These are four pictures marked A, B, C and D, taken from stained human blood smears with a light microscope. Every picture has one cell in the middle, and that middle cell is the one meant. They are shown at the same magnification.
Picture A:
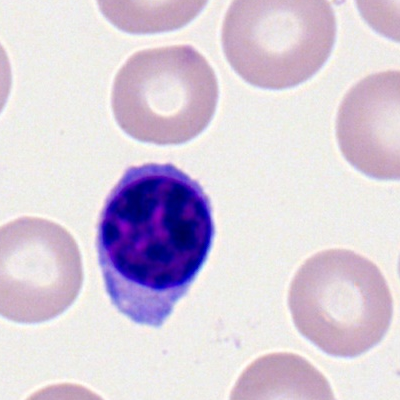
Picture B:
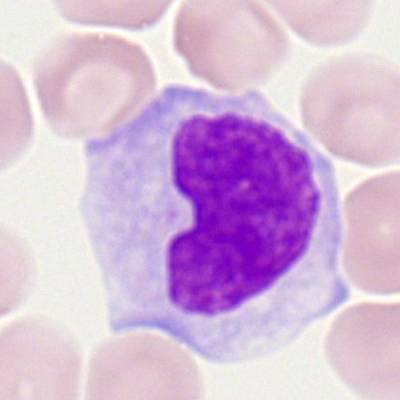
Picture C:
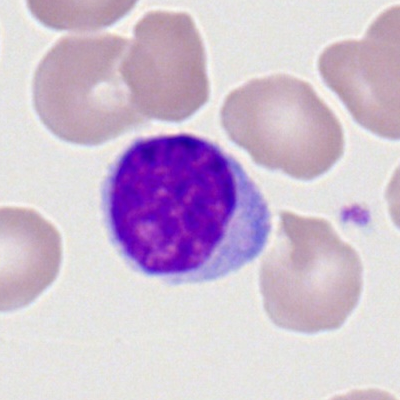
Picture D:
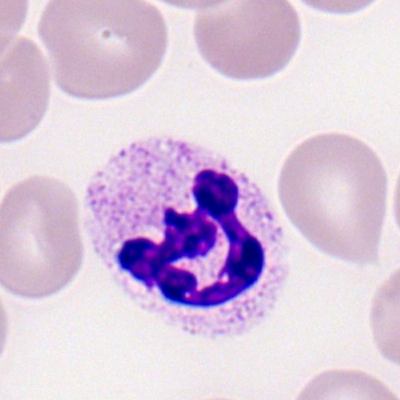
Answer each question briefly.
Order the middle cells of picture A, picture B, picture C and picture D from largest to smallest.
B, D, C, A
